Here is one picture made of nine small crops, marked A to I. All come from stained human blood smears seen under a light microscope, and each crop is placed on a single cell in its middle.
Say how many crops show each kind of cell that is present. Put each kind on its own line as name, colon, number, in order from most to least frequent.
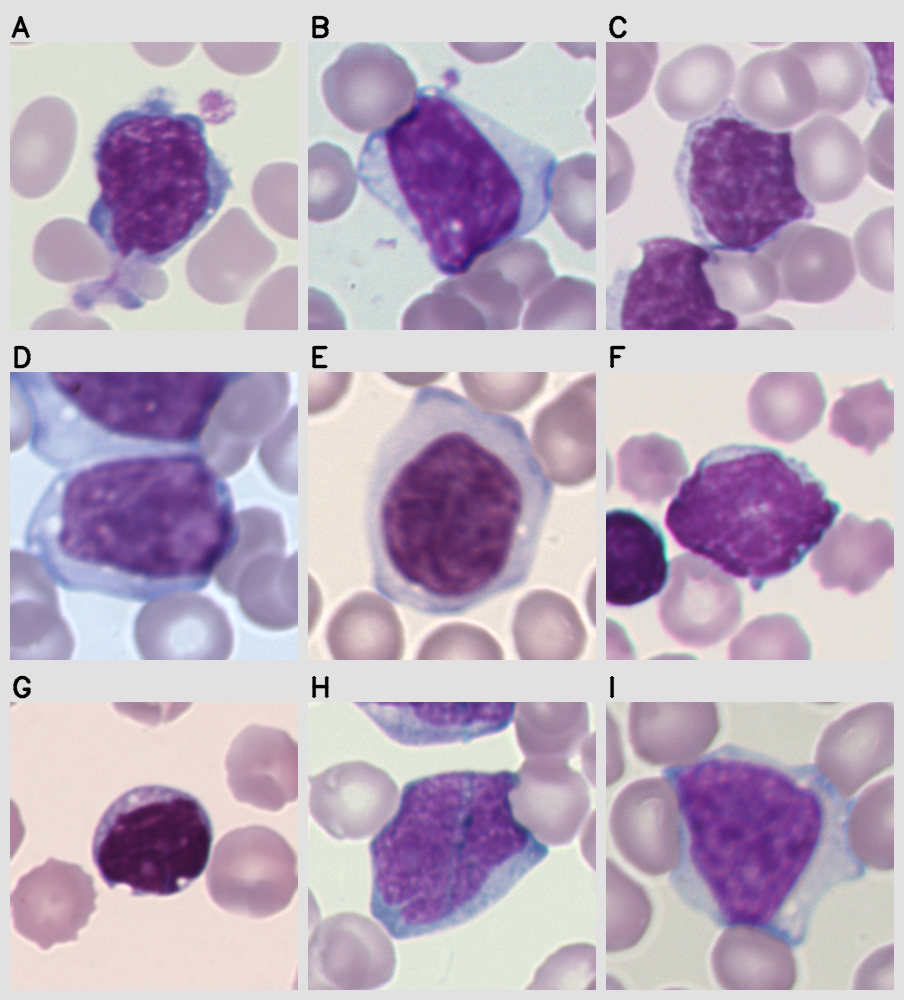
blast: 5
lymphocyte: 4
